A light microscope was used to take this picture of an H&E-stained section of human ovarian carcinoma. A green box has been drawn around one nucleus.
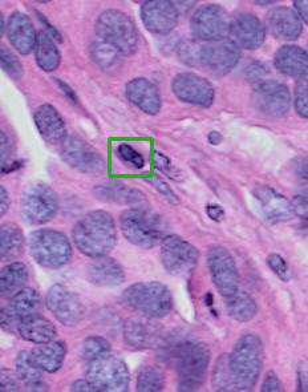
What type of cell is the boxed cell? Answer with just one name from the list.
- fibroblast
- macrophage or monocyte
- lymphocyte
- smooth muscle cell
lymphocyte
